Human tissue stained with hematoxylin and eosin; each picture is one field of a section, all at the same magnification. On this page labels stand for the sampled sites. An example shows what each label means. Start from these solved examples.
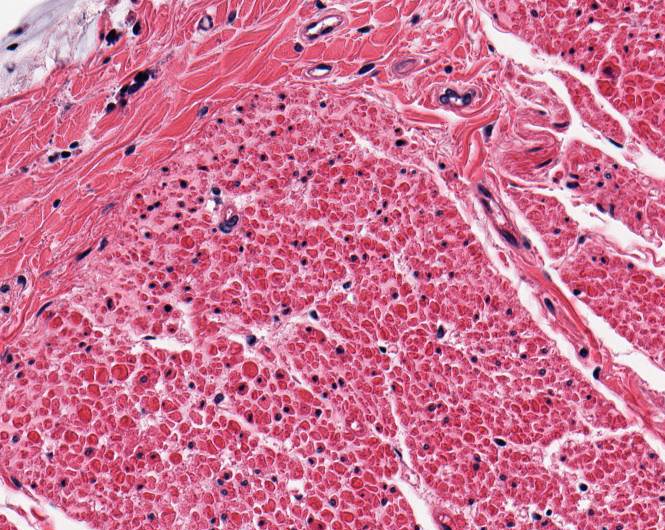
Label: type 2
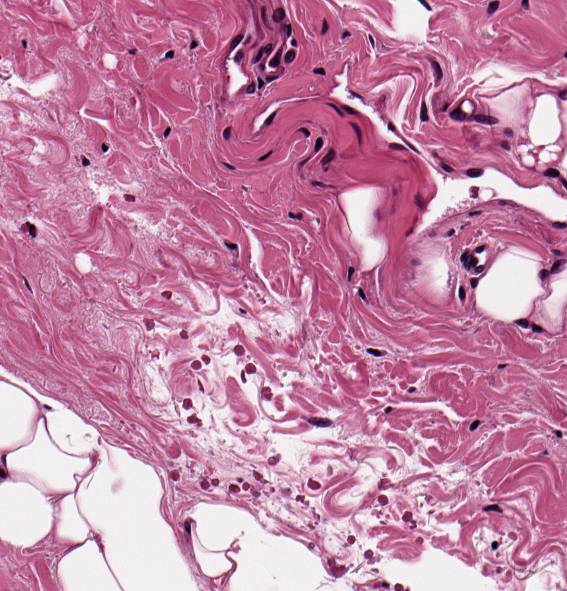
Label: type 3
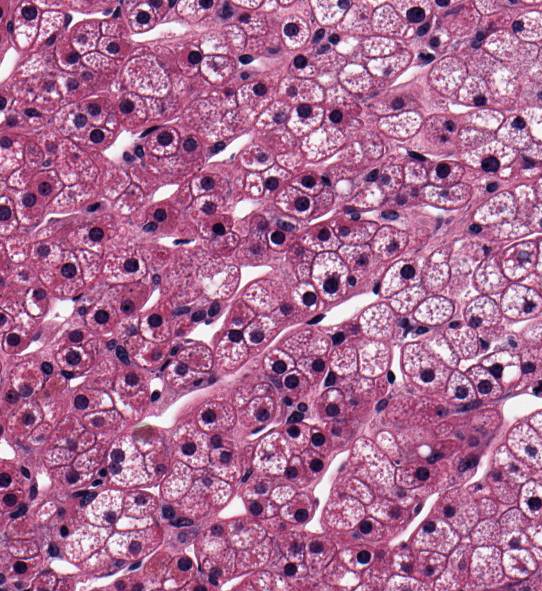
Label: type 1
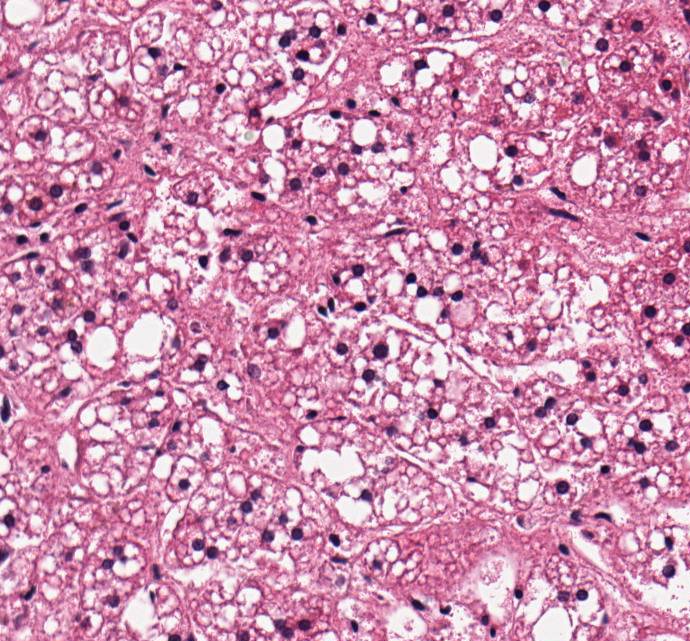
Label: type 1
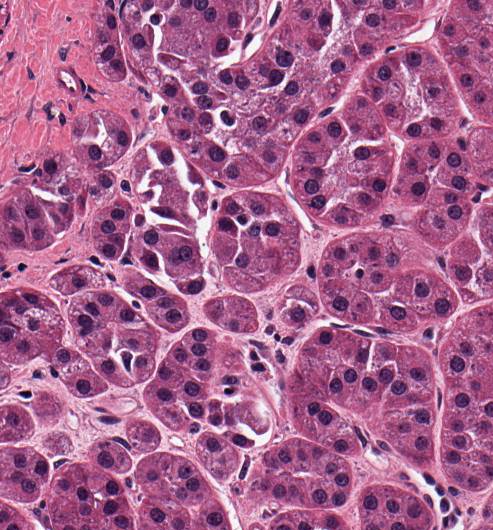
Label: type 1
